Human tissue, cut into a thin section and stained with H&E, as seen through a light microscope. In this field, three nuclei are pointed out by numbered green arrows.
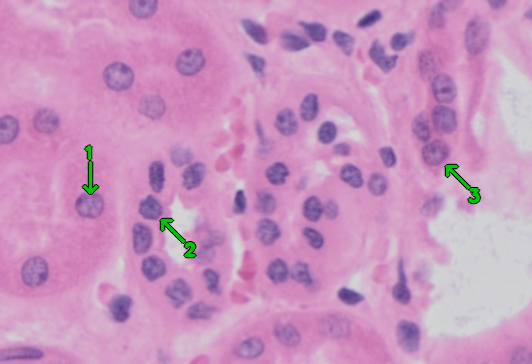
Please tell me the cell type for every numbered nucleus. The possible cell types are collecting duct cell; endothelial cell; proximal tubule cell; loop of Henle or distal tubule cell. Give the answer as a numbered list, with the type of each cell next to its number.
1. proximal tubule cell
2. collecting duct cell
3. proximal tubule cell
